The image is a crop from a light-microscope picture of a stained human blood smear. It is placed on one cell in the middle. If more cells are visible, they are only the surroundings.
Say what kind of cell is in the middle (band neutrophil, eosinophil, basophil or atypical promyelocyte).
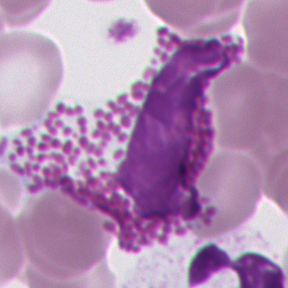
eosinophil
